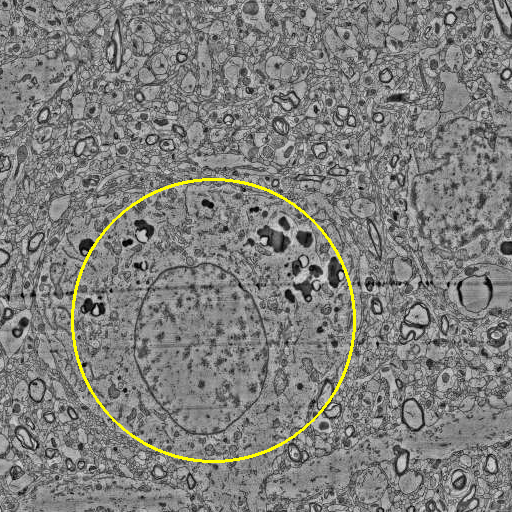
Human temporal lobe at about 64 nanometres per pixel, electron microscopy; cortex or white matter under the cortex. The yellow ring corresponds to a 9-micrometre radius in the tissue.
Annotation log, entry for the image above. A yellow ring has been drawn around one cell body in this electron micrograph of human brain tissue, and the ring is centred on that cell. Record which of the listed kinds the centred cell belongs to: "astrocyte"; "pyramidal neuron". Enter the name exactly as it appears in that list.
pyramidal neuron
